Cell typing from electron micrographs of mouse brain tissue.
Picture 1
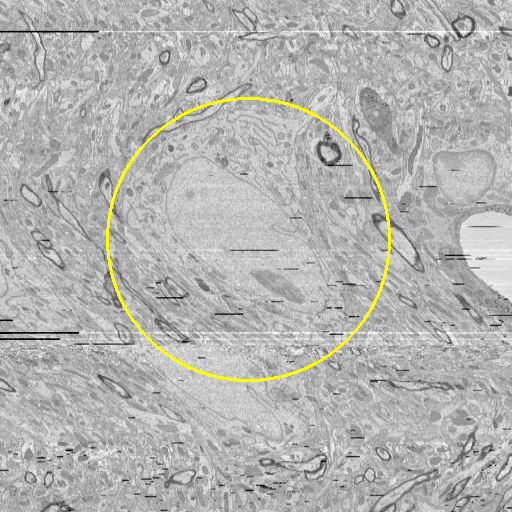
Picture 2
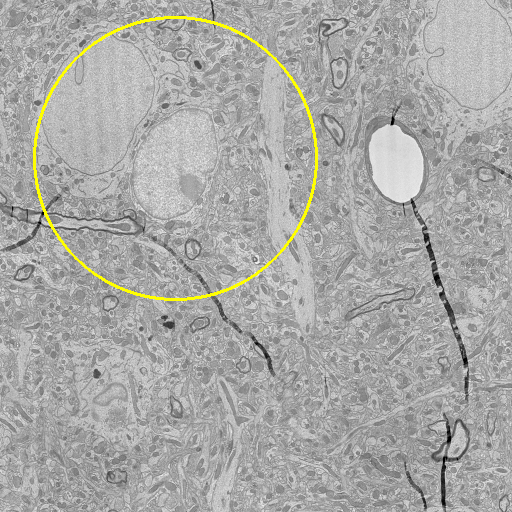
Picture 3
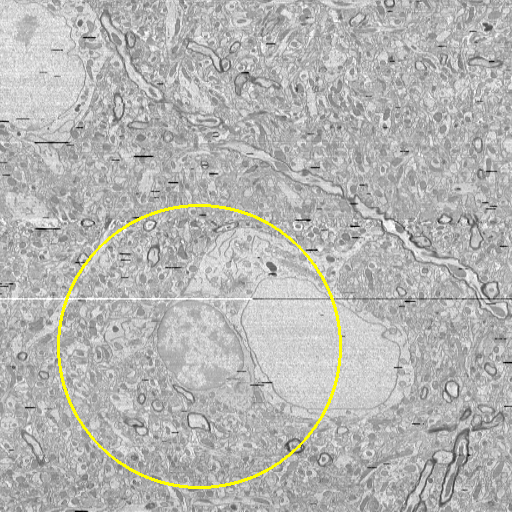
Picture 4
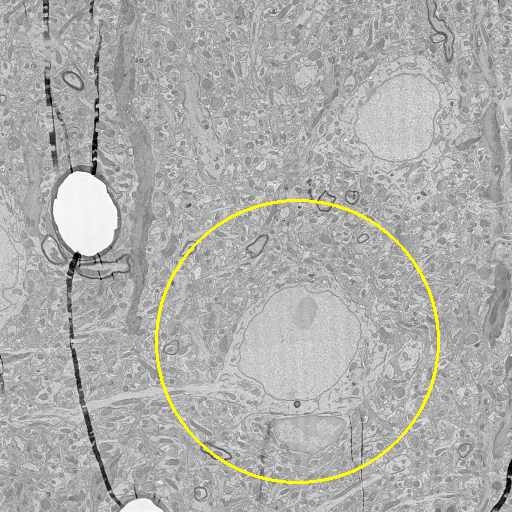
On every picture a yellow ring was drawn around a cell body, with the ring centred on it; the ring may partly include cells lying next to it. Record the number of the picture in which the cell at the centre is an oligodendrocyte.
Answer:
3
